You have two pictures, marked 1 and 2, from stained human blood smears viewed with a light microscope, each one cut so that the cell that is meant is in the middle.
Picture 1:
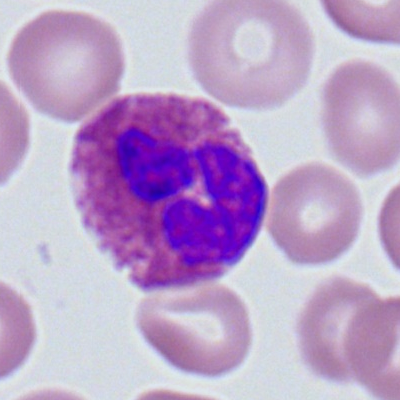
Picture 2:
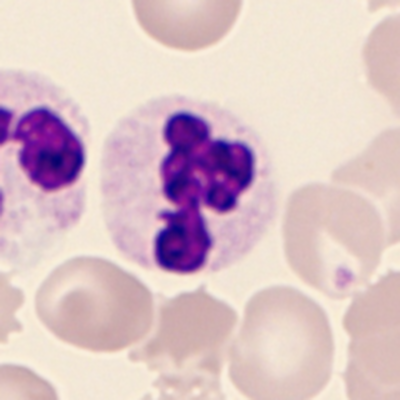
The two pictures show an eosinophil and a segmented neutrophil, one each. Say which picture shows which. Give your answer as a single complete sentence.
It is picture 1 that shows an eosinophil, and picture 2 that shows a segmented neutrophil.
